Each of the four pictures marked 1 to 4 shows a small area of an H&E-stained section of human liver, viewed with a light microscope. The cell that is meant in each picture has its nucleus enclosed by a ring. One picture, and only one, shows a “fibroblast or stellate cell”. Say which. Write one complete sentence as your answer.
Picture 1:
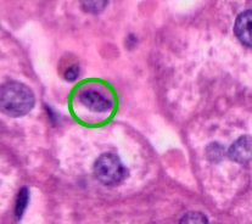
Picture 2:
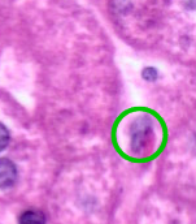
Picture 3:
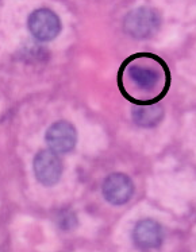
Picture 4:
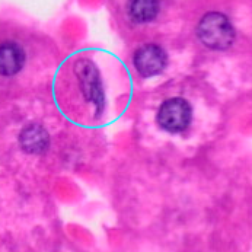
Picture 3 shows the “fibroblast or stellate cell”.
